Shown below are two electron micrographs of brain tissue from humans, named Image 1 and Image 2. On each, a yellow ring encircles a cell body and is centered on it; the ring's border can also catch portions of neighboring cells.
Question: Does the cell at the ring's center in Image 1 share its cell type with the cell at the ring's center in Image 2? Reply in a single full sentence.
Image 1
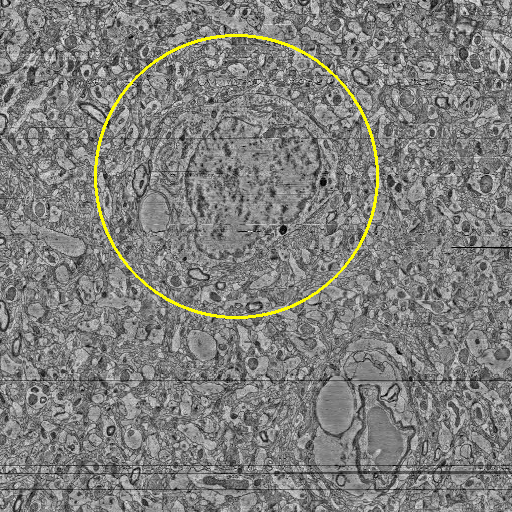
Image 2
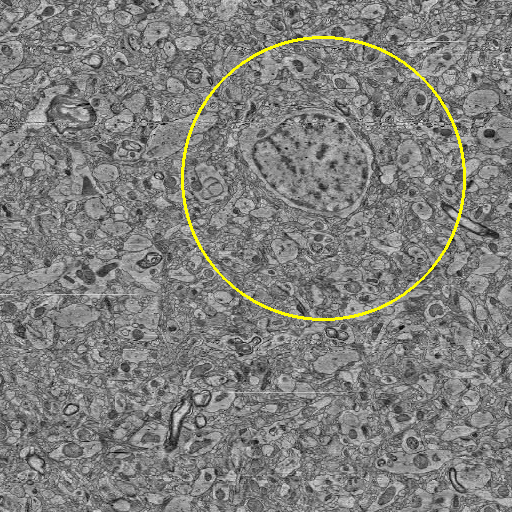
No, the two cells at the ring centers, in Image 1 and Image 2, are of two cell types.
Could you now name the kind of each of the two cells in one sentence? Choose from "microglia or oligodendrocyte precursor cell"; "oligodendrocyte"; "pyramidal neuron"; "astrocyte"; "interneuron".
The first ring encloses an interneuron; the second ring encloses a microglial cell or oligodendrocyte precursor cell.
